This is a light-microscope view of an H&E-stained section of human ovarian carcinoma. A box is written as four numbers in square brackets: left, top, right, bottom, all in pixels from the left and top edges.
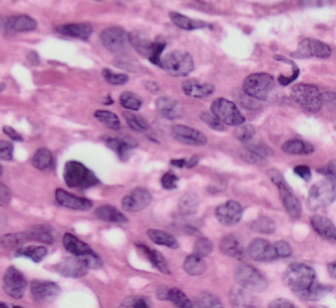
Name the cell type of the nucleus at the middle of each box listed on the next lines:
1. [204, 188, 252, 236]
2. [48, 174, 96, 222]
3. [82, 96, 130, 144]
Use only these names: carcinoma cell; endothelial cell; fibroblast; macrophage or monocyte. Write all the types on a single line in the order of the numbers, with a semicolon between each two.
macrophage or monocyte; carcinoma cell; macrophage or monocyte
